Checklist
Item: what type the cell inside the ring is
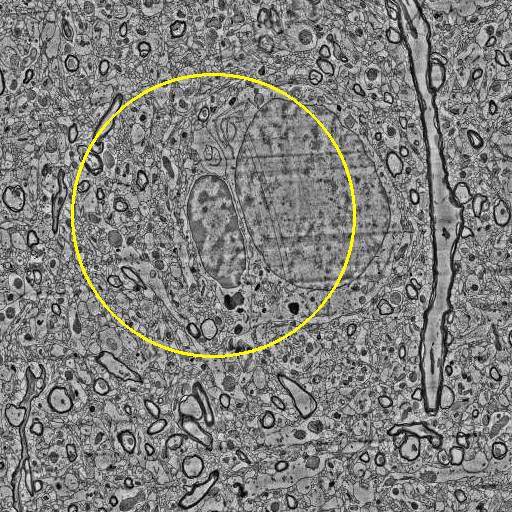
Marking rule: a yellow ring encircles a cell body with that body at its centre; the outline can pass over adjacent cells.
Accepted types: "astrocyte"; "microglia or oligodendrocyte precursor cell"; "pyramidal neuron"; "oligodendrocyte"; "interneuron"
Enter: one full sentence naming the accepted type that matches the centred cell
The entry is that a microglial cell or oligodendrocyte precursor cell lies at the centre of the yellow ring.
